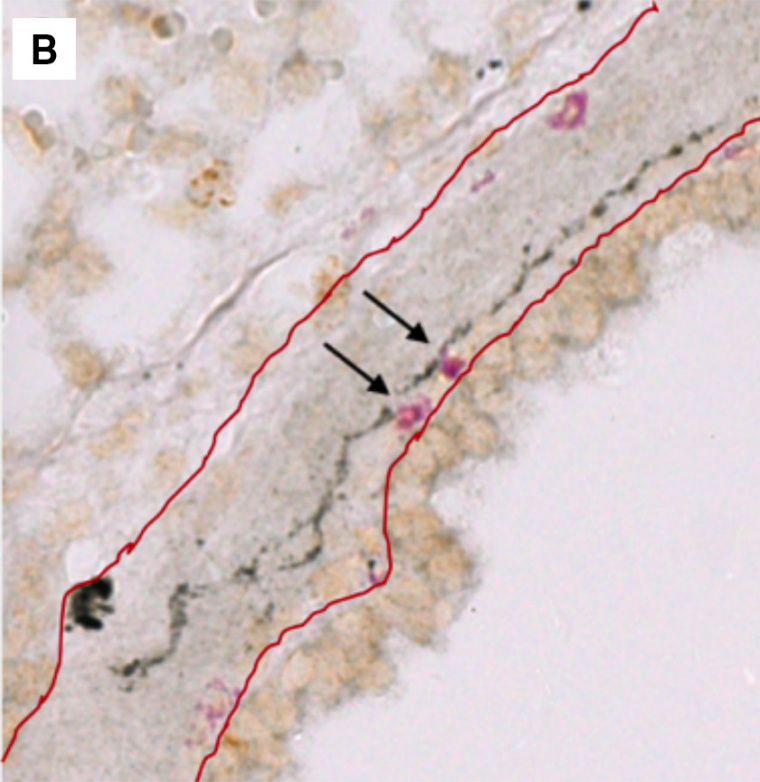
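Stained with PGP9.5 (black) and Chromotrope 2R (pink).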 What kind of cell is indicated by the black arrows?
nerve‐associated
